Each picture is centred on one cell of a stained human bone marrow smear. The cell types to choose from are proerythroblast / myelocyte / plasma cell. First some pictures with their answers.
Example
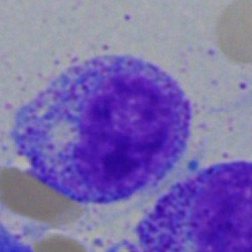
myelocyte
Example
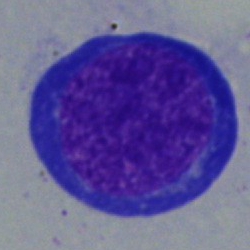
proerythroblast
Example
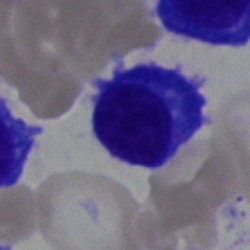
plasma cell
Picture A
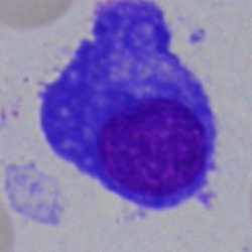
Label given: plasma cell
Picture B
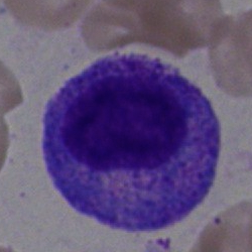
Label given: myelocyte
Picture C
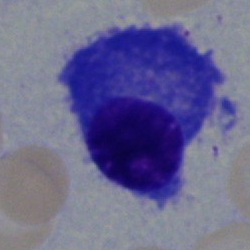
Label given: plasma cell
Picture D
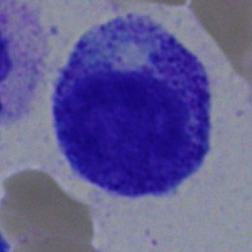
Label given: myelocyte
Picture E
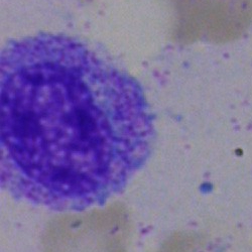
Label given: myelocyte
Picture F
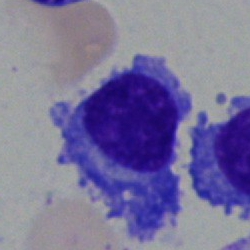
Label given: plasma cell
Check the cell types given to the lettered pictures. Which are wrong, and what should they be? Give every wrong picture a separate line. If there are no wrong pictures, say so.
Nothing to fix; every label fits.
